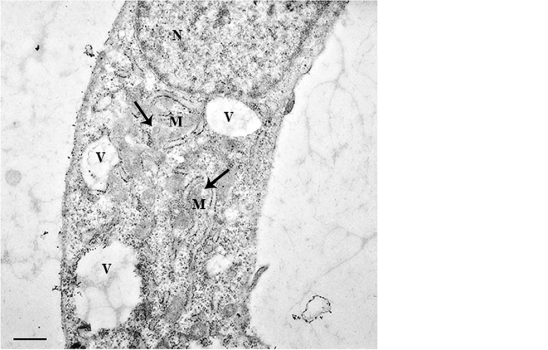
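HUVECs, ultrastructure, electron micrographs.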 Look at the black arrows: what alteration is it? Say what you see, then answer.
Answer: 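The arrows point at oval organelles bounded by membranes.
Diluted matrices.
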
